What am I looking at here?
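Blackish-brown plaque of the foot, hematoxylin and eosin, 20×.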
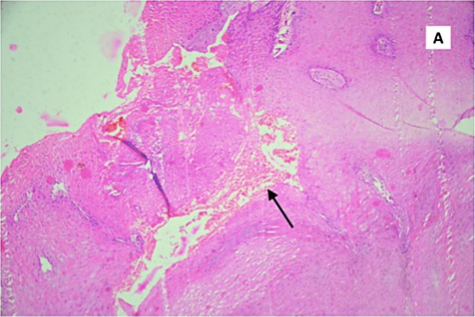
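This is thickened epidermis at low power, forming broad pink masses of epithelium. Irregular clefts run through these masses. The clefts hold loose, fragmented pink material with a few red spots, which are degenerated red cells collected within the epidermis.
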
